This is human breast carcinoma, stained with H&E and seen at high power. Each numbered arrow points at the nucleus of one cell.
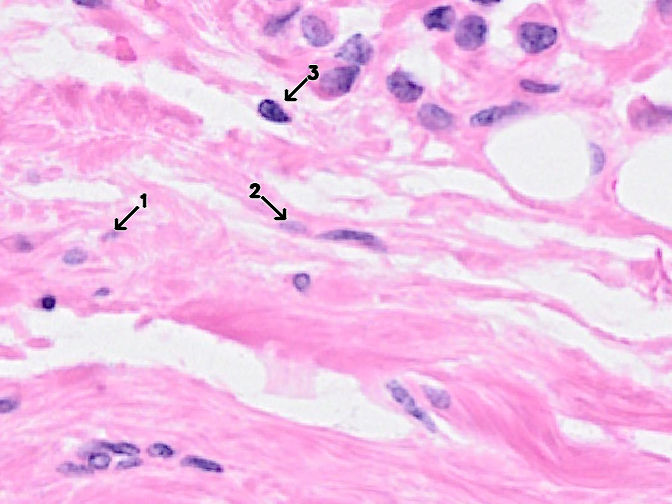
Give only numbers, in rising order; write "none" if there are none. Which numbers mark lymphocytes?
3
